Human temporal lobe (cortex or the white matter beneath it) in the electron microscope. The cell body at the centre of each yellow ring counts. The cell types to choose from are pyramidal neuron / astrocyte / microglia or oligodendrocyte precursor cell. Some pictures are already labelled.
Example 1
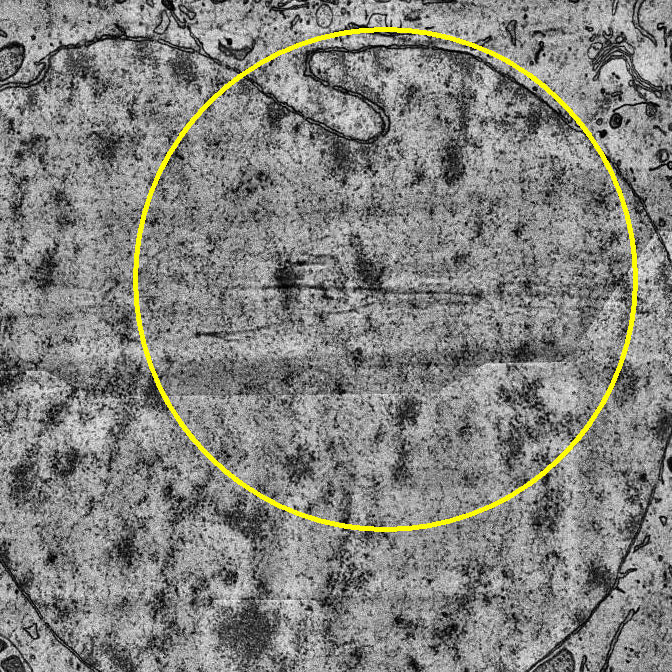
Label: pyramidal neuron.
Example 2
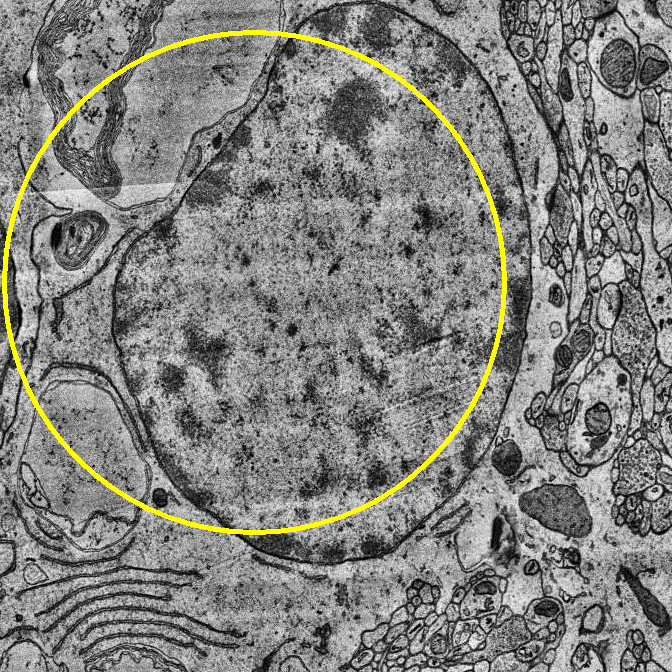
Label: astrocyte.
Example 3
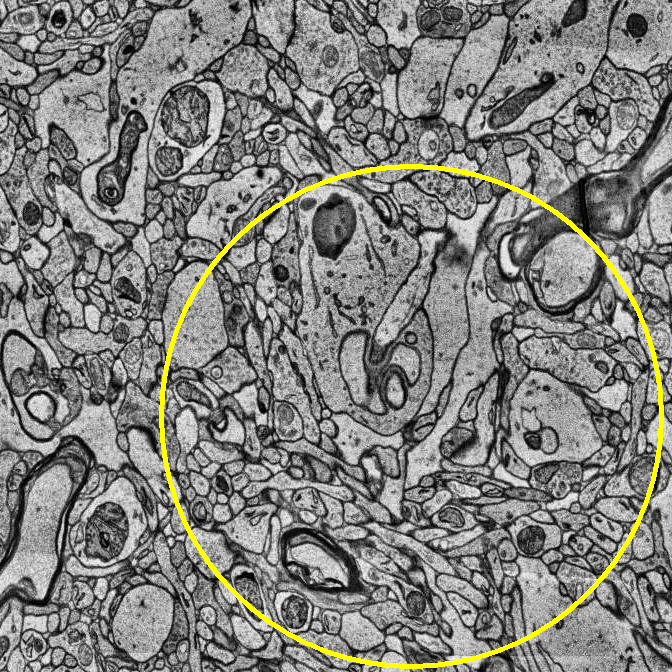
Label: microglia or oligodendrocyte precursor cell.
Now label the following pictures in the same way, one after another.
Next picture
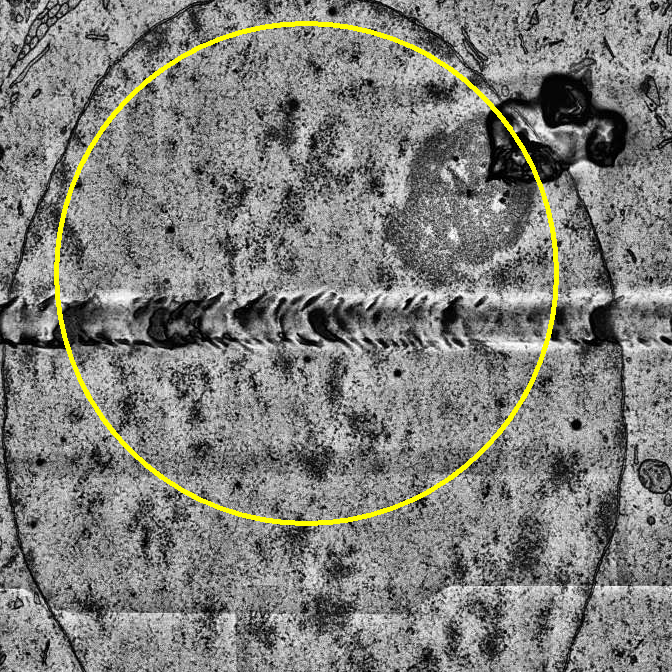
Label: pyramidal neuron.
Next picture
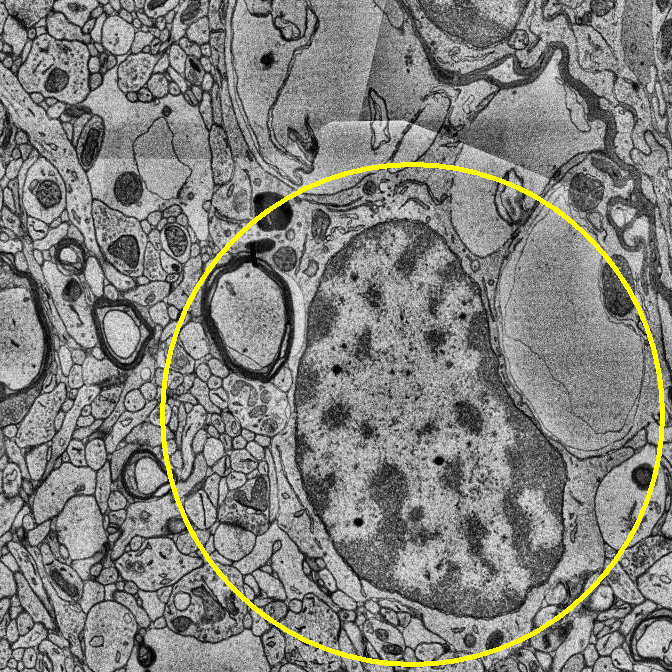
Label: microglia or oligodendrocyte precursor cell.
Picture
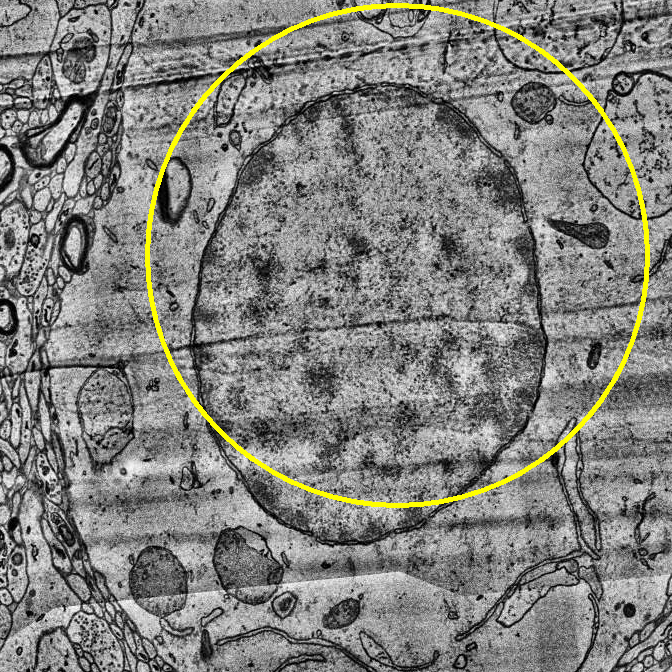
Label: astrocyte.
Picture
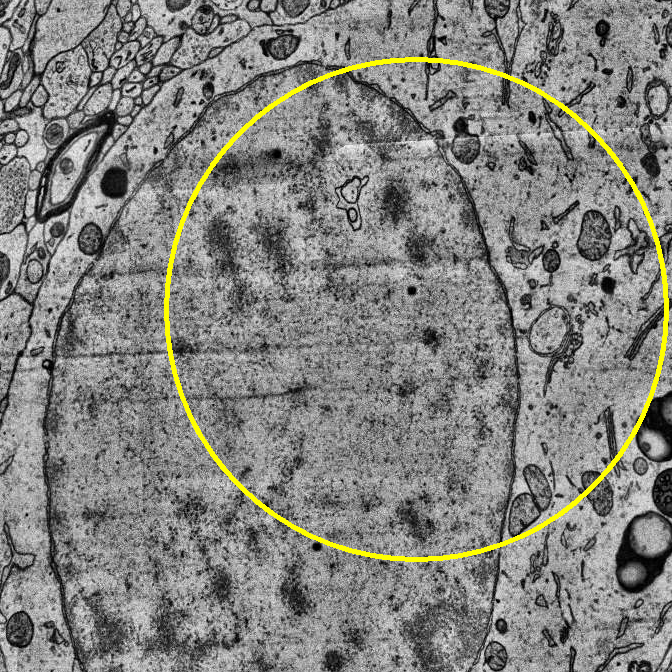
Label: pyramidal neuron.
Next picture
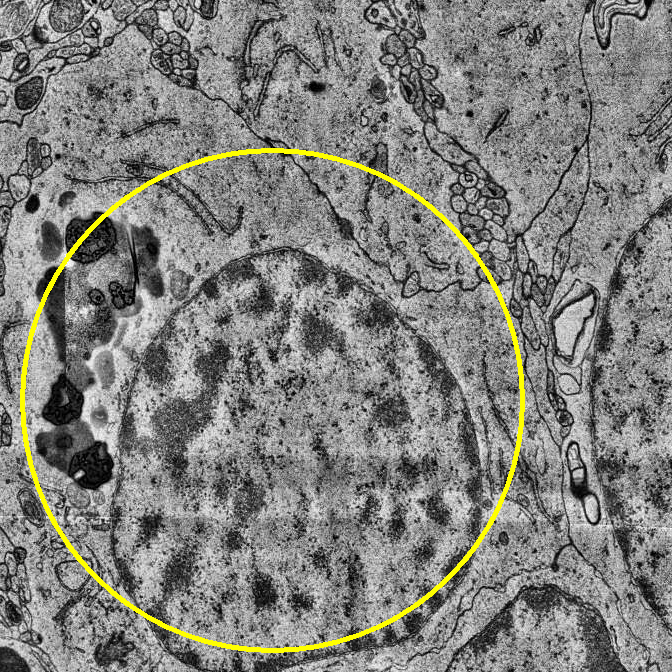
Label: astrocyte.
